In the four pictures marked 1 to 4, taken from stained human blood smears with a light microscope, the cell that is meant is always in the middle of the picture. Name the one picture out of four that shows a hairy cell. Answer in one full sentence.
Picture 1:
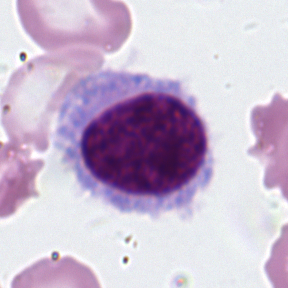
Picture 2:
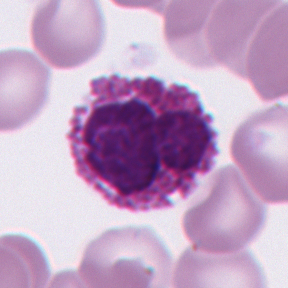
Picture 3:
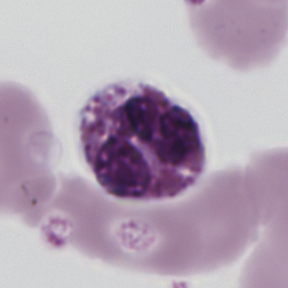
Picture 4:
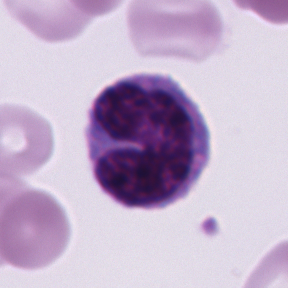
The cell in picture 1 is the hairy cell.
